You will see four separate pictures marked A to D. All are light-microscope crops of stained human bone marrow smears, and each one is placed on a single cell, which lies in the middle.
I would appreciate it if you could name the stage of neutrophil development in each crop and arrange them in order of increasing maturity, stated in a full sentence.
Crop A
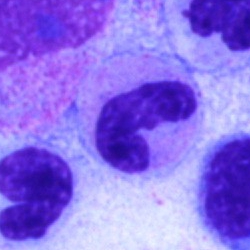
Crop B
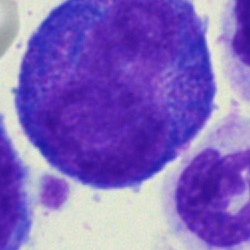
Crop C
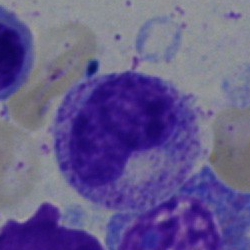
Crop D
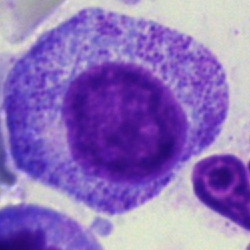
The least to most mature ordering of the crops is crop B (a promyelocyte), crop D (a myelocyte), crop C (a metamyelocyte) and crop A (a segmented neutrophil).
